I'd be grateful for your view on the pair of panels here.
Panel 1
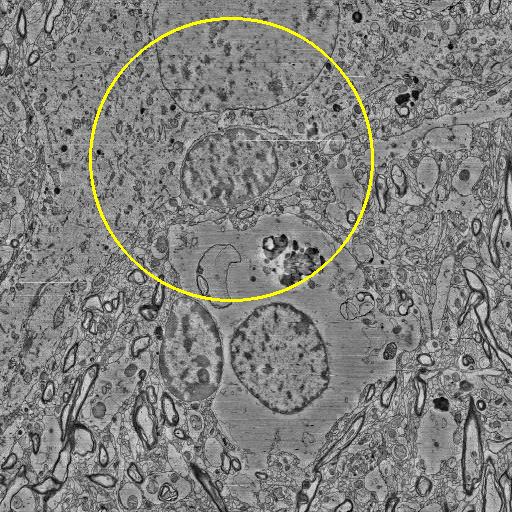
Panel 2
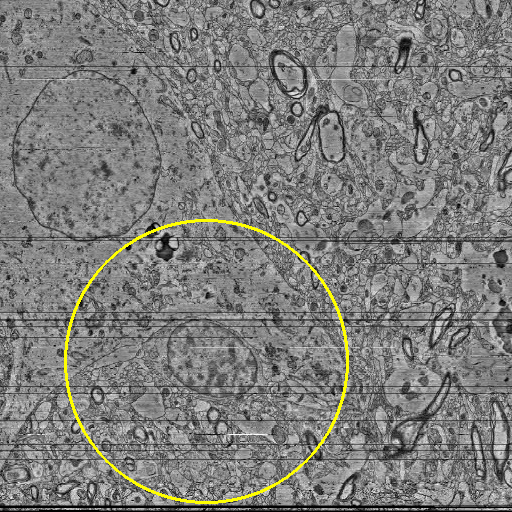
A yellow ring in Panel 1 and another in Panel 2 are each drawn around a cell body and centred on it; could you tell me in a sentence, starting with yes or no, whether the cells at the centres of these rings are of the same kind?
Yes, they are the same kind of cell.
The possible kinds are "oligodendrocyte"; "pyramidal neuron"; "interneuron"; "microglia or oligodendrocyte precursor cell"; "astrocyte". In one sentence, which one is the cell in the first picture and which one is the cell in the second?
In the first picture and in the second, the ring is centred on an oligodendrocyte.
